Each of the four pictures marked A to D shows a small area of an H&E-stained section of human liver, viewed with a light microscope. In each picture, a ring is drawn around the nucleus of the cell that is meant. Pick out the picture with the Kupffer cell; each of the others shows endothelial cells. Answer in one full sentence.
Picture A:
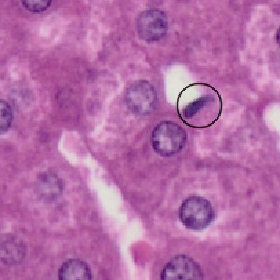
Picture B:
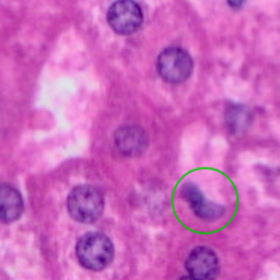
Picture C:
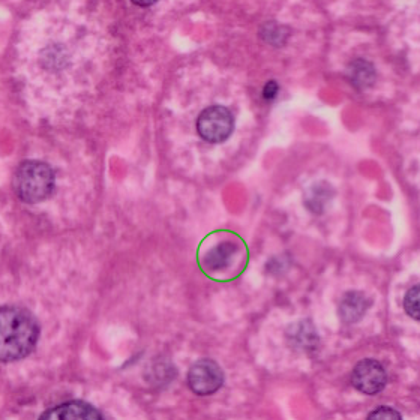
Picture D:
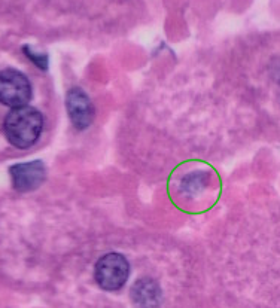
The cell in picture C is the Kupffer cell.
